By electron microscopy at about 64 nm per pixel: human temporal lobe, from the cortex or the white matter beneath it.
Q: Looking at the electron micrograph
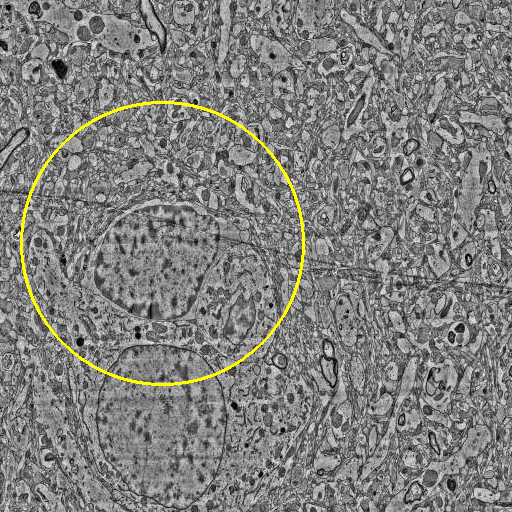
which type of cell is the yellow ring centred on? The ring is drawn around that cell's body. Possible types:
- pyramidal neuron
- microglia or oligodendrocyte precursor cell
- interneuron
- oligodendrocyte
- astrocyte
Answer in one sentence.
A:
The yellow ring is centred on a microglial cell or oligodendrocyte precursor cell.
